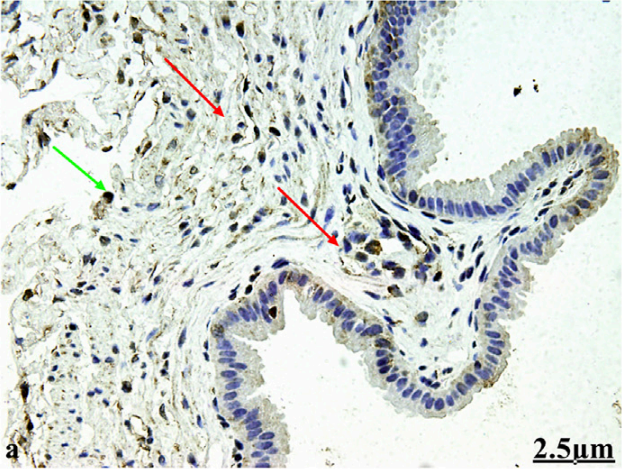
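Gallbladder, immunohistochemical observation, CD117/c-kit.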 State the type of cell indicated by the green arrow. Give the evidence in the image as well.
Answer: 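Mast cells. The cell at the green arrow is round and stained dark brown. It lies alone in loose connective tissue, without slender processes.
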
